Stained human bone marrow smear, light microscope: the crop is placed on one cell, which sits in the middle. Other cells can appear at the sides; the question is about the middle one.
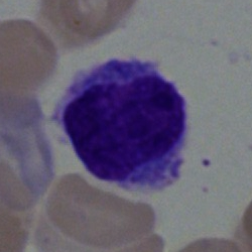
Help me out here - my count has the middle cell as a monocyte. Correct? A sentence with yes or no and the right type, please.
Yes, the cell at the heart of the crop is a monocyte.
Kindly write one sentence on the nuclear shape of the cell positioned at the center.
See how the nucleus sits as one compact round, oval or kidney-shaped mass.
